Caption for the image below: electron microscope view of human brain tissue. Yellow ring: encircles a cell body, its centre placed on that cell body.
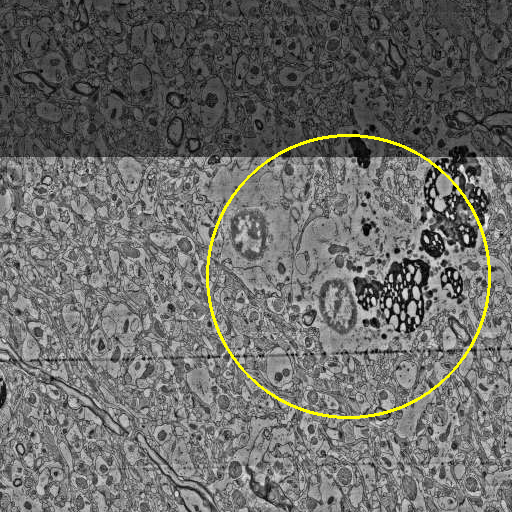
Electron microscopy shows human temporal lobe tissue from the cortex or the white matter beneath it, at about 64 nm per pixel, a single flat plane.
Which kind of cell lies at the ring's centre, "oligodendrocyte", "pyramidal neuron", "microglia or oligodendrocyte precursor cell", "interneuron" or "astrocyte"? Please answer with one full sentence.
The picture shows an astrocyte at the centre of the yellow ring.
